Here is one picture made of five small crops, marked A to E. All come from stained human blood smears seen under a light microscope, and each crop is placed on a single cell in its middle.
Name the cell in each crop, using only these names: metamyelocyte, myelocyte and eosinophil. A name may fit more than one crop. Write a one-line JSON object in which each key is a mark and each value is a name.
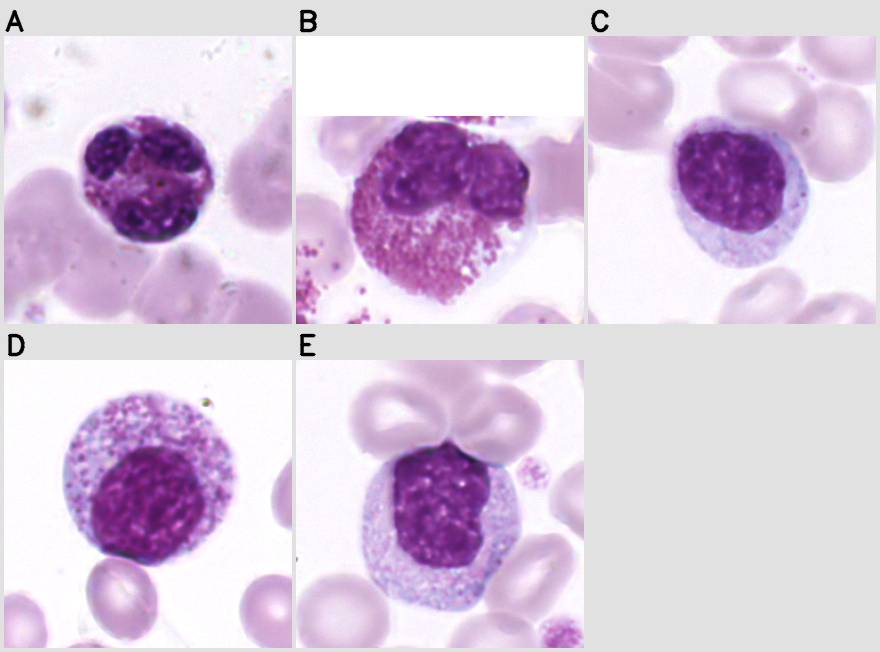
{"A": "eosinophil", "B": "eosinophil", "C": "metamyelocyte", "D": "myelocyte", "E": "myelocyte"}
